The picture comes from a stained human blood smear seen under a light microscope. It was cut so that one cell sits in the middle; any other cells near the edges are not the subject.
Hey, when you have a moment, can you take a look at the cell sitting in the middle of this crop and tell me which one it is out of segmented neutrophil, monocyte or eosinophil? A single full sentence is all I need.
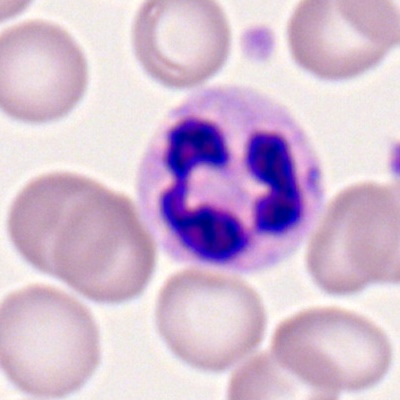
In the center of this field lies a segmented neutrophil.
